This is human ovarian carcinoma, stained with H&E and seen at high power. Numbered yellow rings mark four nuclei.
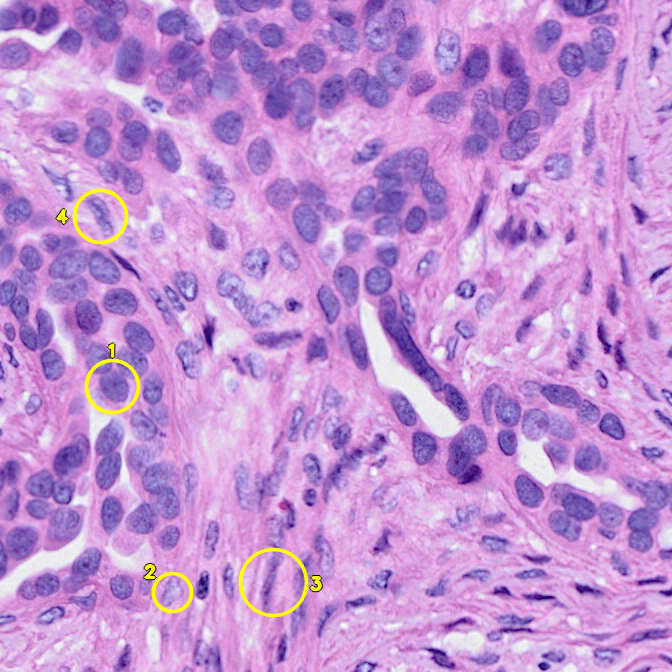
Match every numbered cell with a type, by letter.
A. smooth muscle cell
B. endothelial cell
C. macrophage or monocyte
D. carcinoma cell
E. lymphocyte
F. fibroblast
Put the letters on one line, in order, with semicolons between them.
D; F; F; F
